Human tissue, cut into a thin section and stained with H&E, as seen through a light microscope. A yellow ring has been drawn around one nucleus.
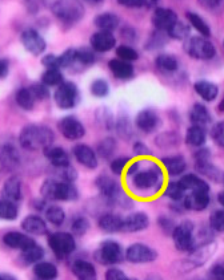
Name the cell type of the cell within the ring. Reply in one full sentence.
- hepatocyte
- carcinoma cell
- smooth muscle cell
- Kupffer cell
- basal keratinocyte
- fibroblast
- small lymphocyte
At the level of cell identity, the cell within the ring is a small lymphocyte.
